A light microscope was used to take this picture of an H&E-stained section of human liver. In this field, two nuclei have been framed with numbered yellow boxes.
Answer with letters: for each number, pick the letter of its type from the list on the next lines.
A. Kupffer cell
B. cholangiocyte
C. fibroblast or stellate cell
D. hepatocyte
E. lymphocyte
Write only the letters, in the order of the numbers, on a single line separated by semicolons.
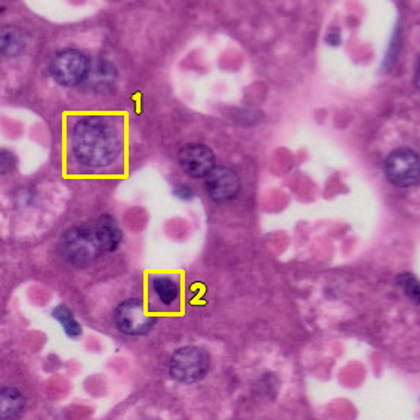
D; C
